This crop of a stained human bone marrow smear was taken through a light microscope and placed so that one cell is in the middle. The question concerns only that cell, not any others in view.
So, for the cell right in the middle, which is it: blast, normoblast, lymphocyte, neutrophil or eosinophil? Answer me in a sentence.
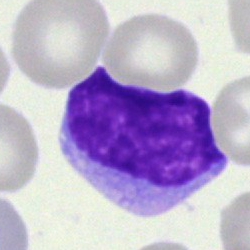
The cell shown in the center of this light-microscope crop is a blast.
